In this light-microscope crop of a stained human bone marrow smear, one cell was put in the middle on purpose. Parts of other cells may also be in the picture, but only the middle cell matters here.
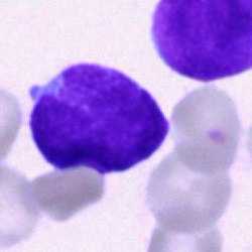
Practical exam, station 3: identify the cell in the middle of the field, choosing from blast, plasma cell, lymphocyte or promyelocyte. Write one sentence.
The cell of interest, in the center, is a blast.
